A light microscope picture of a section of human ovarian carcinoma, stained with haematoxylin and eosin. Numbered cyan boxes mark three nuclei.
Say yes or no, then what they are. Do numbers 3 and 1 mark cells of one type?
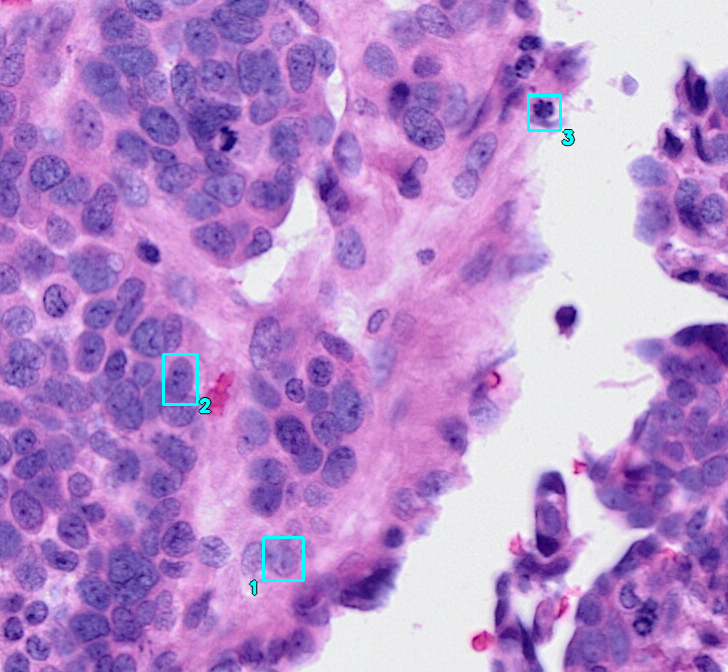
No, not so; cell 3 is a lymphocyte and cell 1 is a fibroblast.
